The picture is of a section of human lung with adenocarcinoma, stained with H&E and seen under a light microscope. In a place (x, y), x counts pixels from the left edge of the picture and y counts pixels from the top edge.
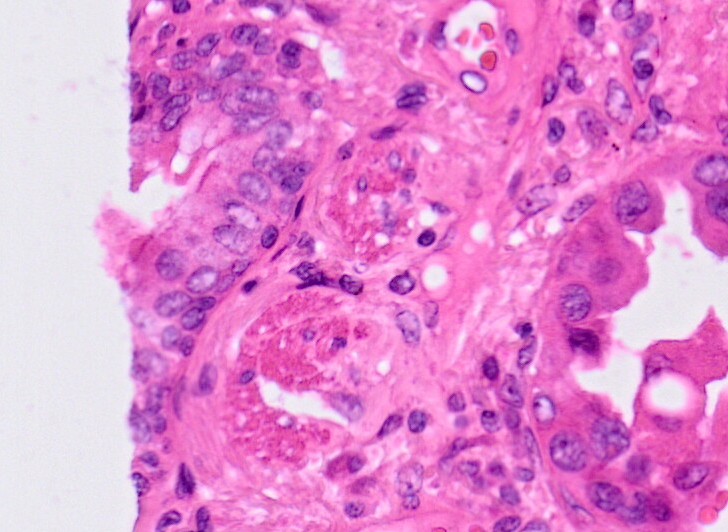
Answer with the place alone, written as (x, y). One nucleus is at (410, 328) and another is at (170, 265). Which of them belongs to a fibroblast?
(410, 328)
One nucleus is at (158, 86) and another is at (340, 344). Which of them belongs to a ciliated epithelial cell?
(158, 86)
